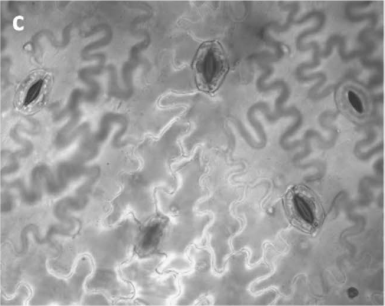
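This leaf epidermal peel shows stomata scattered among epidermal pavement cells. The pavement cells have strongly wavy, interlocking walls, giving a jigsaw-puzzle pattern. Each stoma is an oval unit of two bean-shaped guard cells facing each other across a dark central slit-like pore. The stomata lie singly and well apart from one another, oriented in different directions.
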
